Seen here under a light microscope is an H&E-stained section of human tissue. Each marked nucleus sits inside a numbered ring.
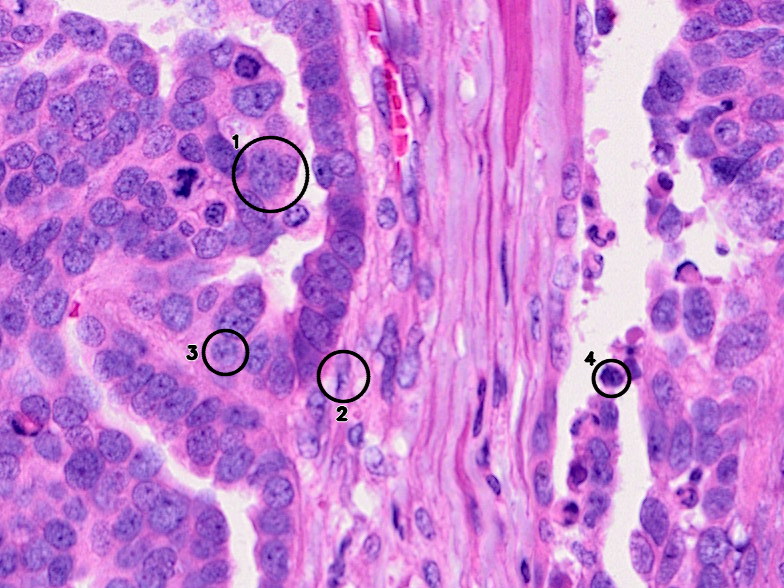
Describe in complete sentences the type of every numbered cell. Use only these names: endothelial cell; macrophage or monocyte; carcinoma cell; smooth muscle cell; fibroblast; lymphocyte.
Cells 1 and 3 are carcinoma cells. Cell 2 is a fibroblast. Cell 4 is a lymphocyte.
